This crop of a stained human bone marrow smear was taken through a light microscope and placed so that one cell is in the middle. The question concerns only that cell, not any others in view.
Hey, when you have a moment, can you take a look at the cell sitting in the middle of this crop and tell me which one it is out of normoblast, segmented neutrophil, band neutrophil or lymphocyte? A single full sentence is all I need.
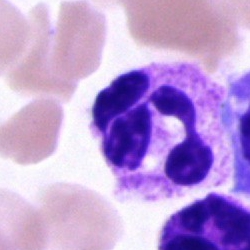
The middle of this crop holds a segmented neutrophil.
